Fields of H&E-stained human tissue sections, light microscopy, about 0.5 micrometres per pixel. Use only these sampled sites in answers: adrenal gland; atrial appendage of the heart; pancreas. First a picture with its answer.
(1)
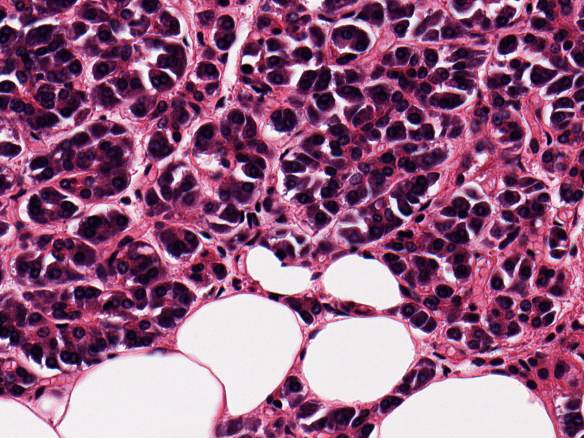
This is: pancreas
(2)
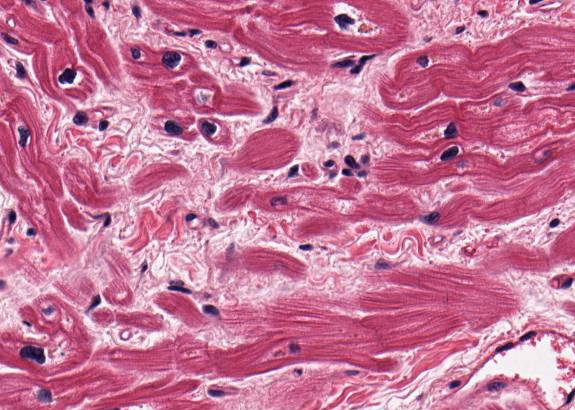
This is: atrial appendage of the heart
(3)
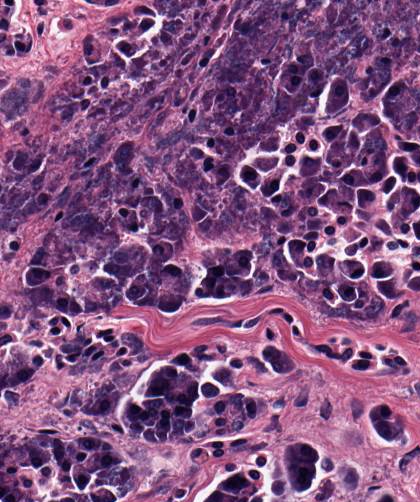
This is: pancreas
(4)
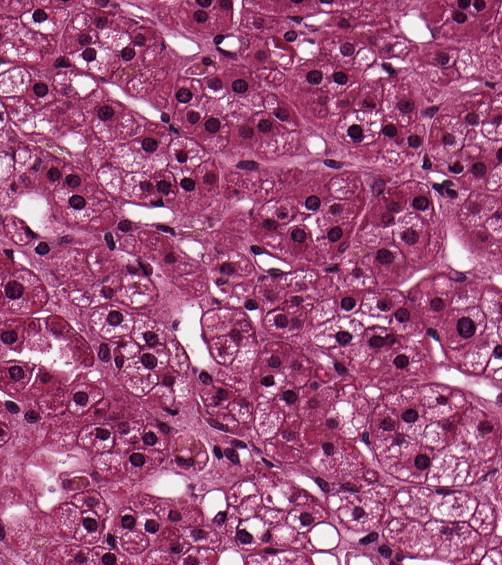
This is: adrenal gland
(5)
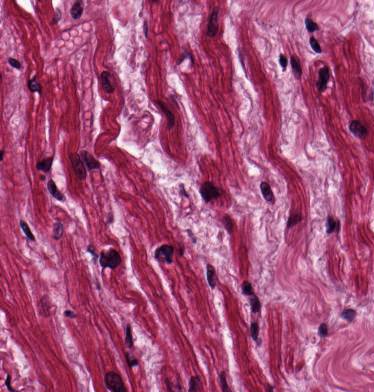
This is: atrial appendage of the heart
